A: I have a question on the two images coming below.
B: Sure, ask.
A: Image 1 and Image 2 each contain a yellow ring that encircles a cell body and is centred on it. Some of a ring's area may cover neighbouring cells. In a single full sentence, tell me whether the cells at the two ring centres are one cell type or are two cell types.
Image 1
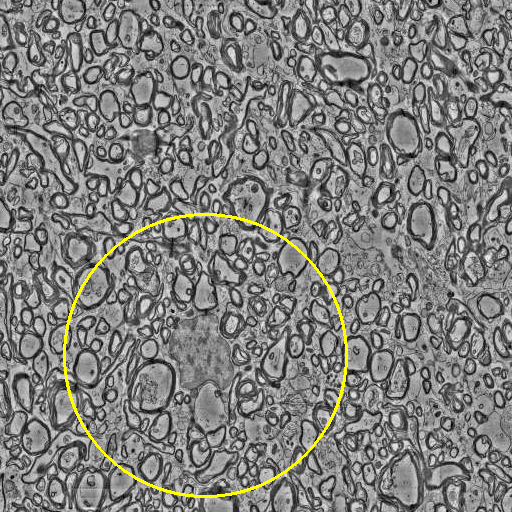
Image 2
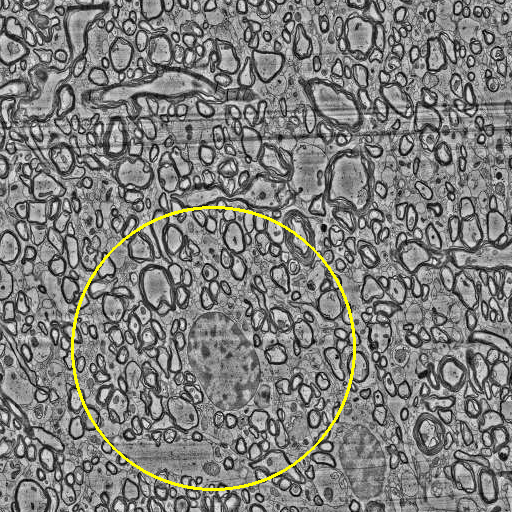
As for the ring-centre cells, the one in Image 1 and the one in Image 2 are two cell types.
